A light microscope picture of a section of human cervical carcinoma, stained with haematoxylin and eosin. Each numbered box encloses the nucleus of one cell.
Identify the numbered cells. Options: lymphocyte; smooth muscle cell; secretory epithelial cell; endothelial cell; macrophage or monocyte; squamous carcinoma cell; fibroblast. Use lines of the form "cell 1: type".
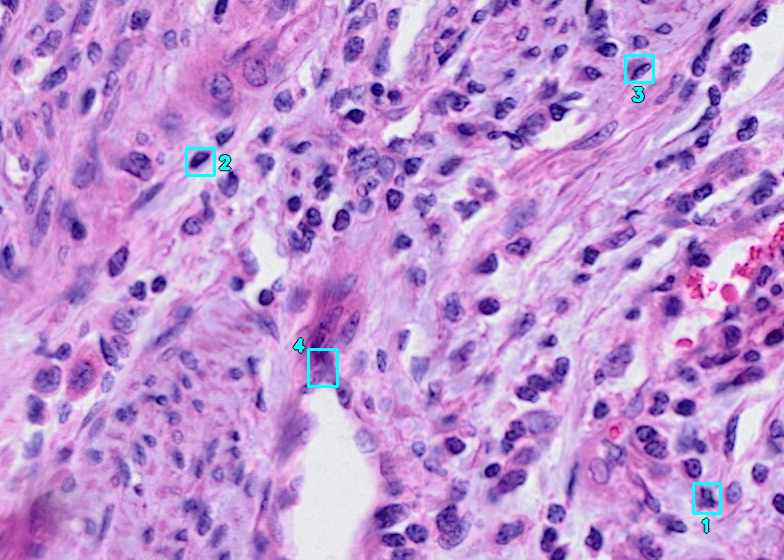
cell 1: lymphocyte
cell 2: lymphocyte
cell 3: lymphocyte
cell 4: endothelial cell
